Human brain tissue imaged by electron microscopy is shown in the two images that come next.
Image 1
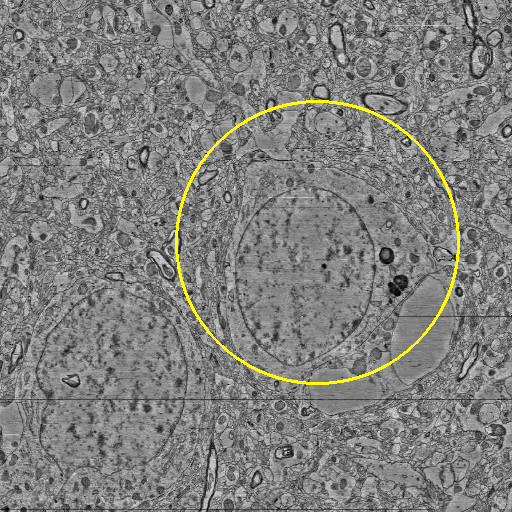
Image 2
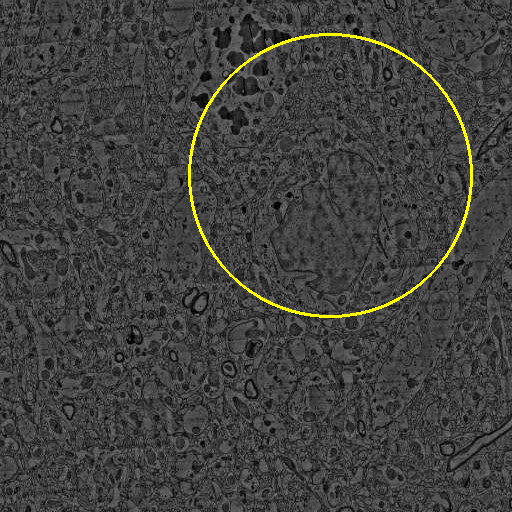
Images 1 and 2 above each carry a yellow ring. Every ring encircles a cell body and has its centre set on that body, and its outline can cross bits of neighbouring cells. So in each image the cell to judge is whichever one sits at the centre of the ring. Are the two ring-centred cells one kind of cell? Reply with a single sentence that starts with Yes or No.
No, in Image 1 and Image 2 the cells at the centres of their rings fall into two types.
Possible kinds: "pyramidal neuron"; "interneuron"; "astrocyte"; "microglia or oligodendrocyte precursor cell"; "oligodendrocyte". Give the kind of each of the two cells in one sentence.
The cell in the second picture is an interneuron, and that in the first is a pyramidal neuron.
